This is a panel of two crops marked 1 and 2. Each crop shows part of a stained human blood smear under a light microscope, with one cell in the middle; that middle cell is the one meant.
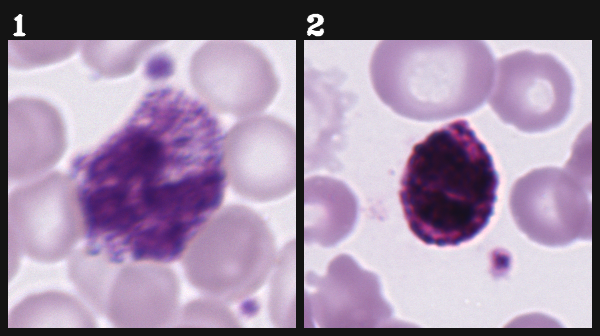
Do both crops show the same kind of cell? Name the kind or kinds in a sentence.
Yes, both crops show basophils in the centre of the field.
